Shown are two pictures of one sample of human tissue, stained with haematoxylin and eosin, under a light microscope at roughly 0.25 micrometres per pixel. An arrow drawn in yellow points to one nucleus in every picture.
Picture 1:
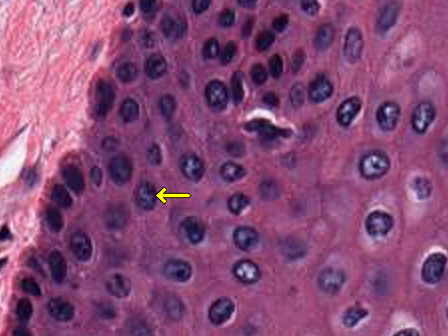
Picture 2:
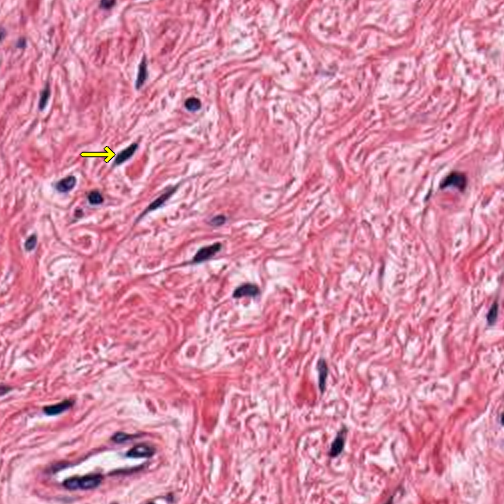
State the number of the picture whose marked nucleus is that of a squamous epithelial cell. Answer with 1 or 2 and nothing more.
1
